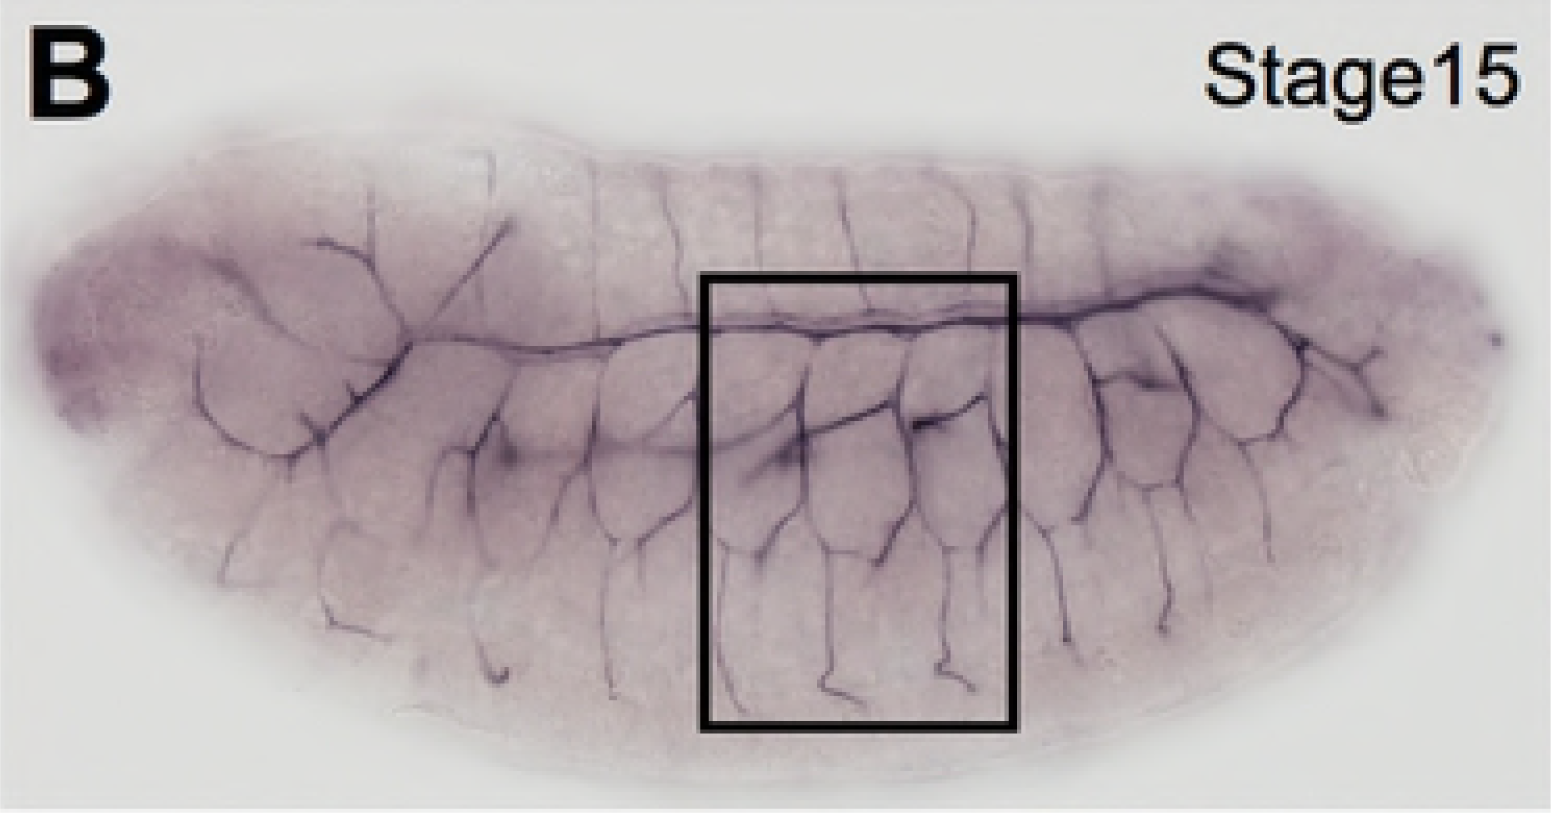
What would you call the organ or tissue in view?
Tracheal system.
